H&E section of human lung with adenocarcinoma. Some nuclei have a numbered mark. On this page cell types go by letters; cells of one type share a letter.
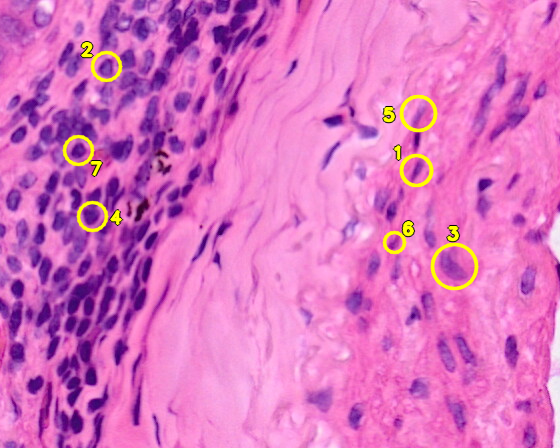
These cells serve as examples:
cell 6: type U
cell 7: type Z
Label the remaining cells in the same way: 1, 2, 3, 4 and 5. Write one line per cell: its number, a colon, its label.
1: type U
2: type Z
3: type U
4: type Z
5: type U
